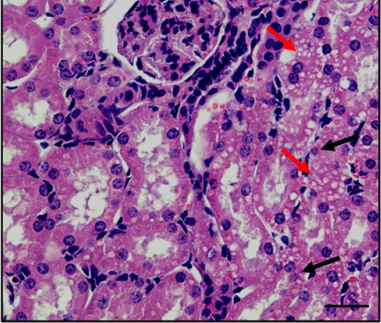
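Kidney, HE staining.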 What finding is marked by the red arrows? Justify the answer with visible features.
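Tubular epithelial cells at the red arrows have cytoplasm filled with many small clear round spaces. Neighbouring tubular cells have more uniform pink cytoplasm. That points to this answer: vacuolar degeneration.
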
